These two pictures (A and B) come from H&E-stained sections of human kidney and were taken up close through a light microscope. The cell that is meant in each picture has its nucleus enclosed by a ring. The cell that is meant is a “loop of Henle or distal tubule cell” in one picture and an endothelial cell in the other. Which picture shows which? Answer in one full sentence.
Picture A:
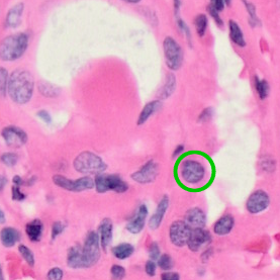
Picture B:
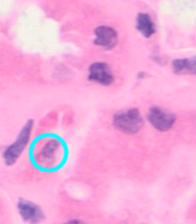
The cell in picture A is a “loop of Henle or distal tubule cell”, and the one in picture B is an endothelial cell.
